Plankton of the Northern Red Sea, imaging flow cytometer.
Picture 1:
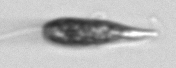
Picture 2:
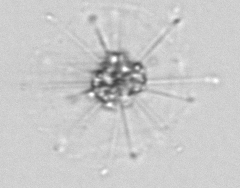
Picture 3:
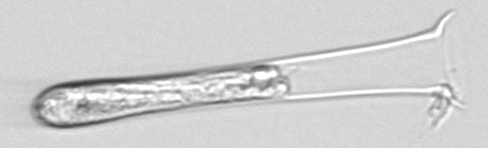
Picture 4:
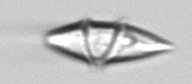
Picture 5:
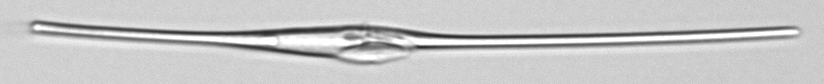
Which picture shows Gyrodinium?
Picture 4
